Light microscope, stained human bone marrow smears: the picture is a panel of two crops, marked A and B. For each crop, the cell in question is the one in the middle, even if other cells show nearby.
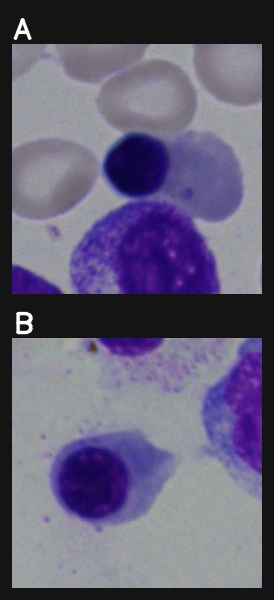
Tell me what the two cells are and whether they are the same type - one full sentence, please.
Yes, erythroblasts are what the two crops show.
